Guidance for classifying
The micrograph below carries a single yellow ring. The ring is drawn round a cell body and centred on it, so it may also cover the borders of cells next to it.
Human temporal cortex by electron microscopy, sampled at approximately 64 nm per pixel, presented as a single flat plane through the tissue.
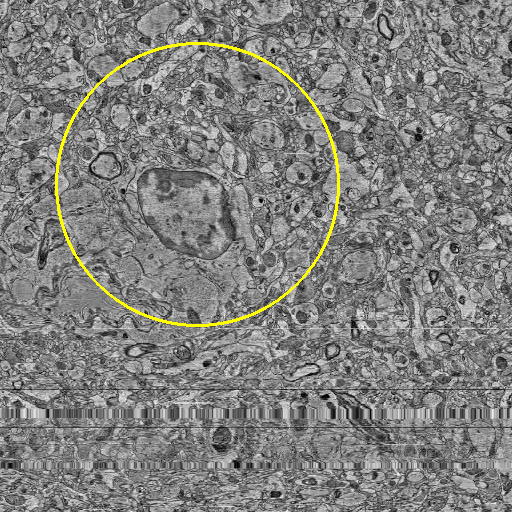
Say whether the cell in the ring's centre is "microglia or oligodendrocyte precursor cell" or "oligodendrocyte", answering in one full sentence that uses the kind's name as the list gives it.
Within the yellow ring, a microglial cell or oligodendrocyte precursor cell is the cell whose body sits at the centre.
